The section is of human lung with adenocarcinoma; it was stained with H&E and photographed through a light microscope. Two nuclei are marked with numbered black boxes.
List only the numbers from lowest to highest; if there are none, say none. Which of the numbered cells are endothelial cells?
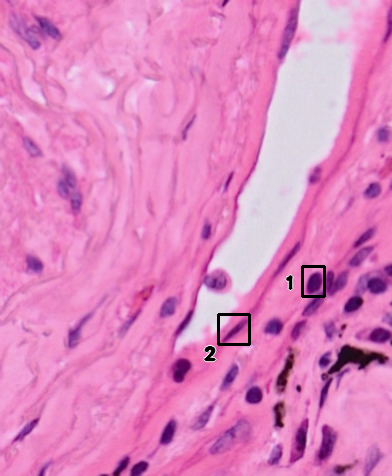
2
